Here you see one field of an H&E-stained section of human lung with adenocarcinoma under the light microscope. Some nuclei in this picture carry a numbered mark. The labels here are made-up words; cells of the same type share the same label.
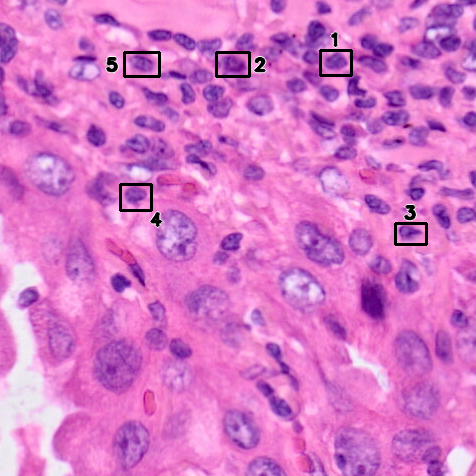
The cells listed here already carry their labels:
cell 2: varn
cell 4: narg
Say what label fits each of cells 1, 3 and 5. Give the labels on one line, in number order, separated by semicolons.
narg; narg; varn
